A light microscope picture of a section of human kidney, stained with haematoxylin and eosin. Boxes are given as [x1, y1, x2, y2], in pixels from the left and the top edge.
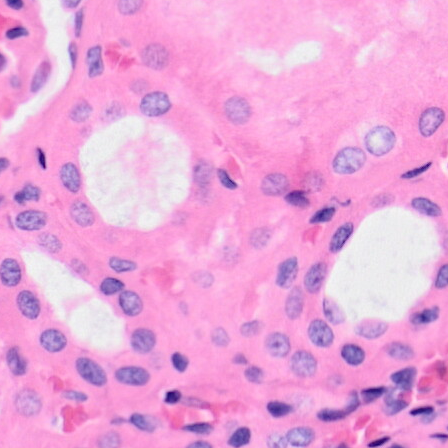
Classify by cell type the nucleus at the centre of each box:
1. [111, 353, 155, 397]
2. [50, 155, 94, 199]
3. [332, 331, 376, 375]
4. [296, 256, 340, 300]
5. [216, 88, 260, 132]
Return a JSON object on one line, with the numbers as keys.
{"1": "collecting duct cell", "2": "loop of Henle or distal tubule cell", "3": "loop of Henle or distal tubule cell", "4": "loop of Henle or distal tubule cell", "5": "proximal tubule cell"}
